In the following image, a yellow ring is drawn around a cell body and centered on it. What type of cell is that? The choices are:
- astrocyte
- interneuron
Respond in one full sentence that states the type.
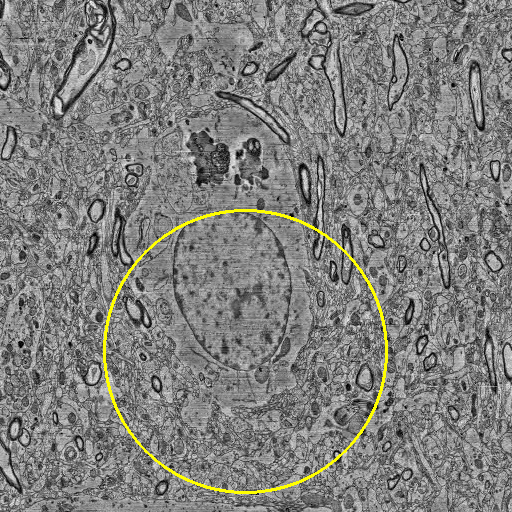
The cell at the center of the yellow ring in the image is an astrocyte.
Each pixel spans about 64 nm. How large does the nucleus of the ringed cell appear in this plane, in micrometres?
Approximately 11 x 7 micrometres in this plane.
